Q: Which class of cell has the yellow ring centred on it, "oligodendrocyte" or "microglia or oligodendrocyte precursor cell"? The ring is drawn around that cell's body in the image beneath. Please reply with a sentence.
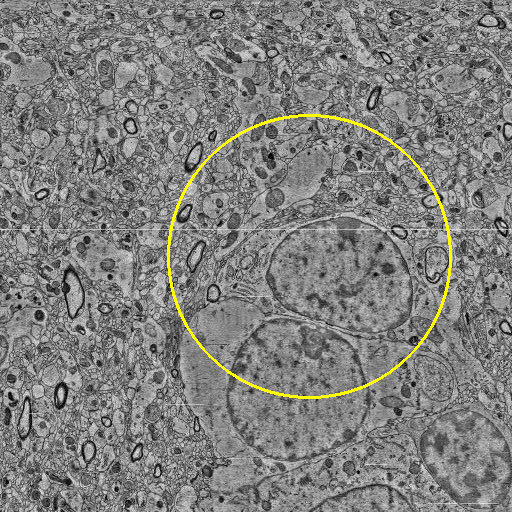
It is centred on a microglial cell or oligodendrocyte precursor cell.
